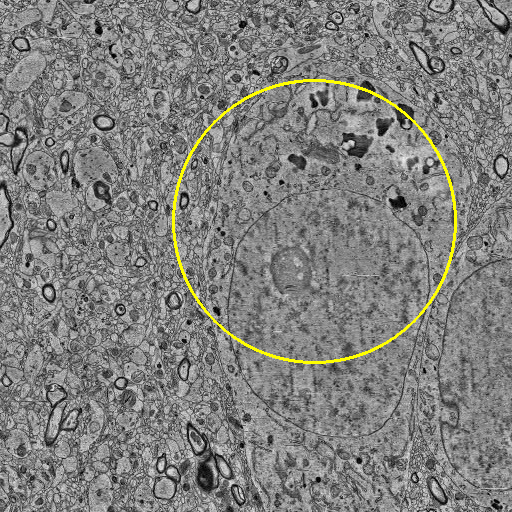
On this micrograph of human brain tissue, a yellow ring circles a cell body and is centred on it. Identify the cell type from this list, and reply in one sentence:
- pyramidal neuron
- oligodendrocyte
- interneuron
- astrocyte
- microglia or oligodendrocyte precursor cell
The cell at the centre is a pyramidal neuron.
